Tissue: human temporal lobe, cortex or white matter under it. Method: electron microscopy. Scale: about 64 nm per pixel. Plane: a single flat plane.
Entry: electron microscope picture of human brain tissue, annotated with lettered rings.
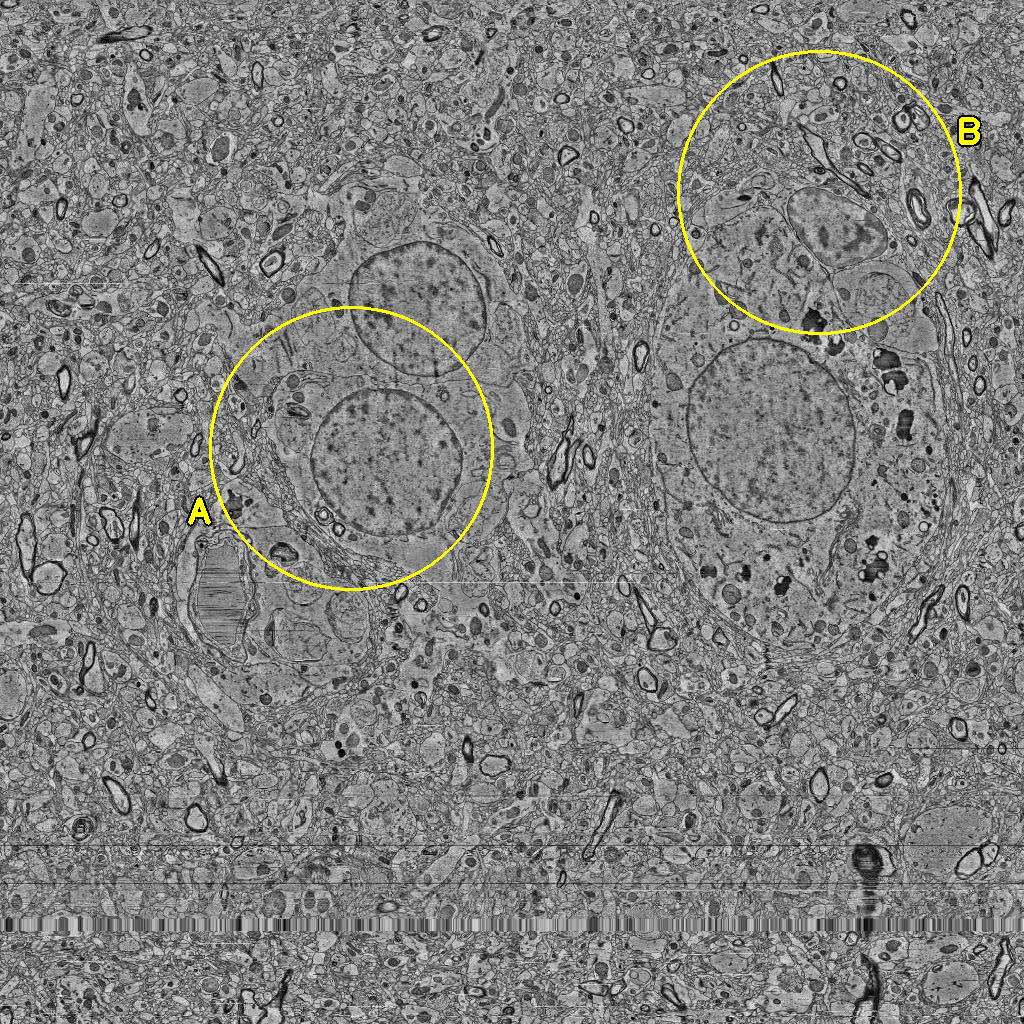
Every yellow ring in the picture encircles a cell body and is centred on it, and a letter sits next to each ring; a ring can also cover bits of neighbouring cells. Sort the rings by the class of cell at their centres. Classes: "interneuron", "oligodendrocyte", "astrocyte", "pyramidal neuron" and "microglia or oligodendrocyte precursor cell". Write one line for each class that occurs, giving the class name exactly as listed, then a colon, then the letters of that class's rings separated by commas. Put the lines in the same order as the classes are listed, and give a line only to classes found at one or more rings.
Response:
astrocyte: A
microglia or oligodendrocyte precursor cell: B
